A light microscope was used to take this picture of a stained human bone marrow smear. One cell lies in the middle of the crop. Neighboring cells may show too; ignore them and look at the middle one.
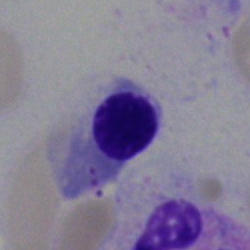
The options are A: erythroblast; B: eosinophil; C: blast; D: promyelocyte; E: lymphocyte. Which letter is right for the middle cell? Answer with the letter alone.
A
